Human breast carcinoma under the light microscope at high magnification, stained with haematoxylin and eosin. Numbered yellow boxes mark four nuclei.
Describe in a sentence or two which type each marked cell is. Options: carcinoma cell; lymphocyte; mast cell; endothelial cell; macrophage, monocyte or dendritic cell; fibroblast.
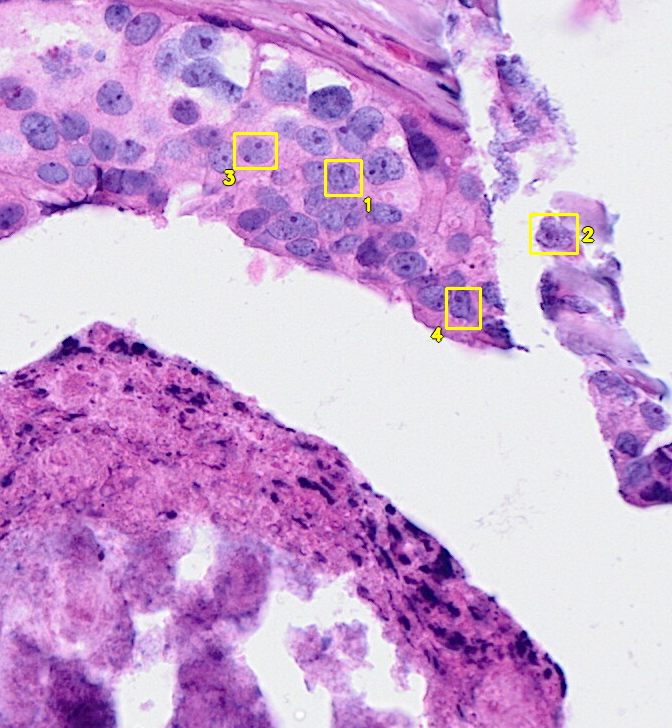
Cell 1 is a carcinoma cell, cell 2 is a fibroblast, cell 3 is a carcinoma cell and cell 4 is a carcinoma cell.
